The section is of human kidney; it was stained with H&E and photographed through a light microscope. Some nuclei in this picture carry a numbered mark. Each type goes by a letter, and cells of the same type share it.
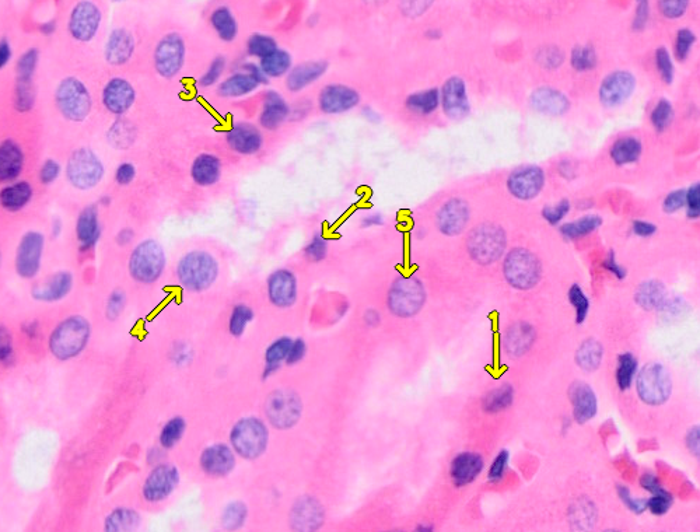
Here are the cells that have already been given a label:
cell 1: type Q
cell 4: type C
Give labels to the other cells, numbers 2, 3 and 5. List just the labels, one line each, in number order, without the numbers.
type C
type C
type Q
